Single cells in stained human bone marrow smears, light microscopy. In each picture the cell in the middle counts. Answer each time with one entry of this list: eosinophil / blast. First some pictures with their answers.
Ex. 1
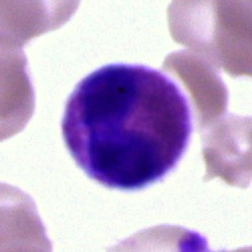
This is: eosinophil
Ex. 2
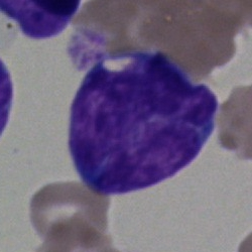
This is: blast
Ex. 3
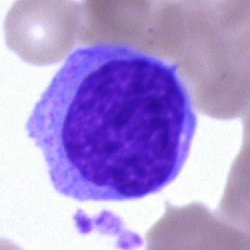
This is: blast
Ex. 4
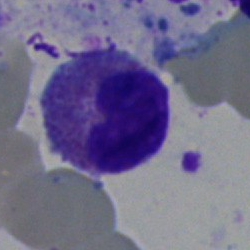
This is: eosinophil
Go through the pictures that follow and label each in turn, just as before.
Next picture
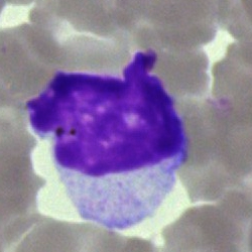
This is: blast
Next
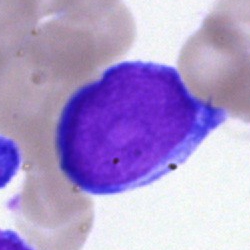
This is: blast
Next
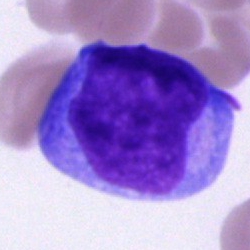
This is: blast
